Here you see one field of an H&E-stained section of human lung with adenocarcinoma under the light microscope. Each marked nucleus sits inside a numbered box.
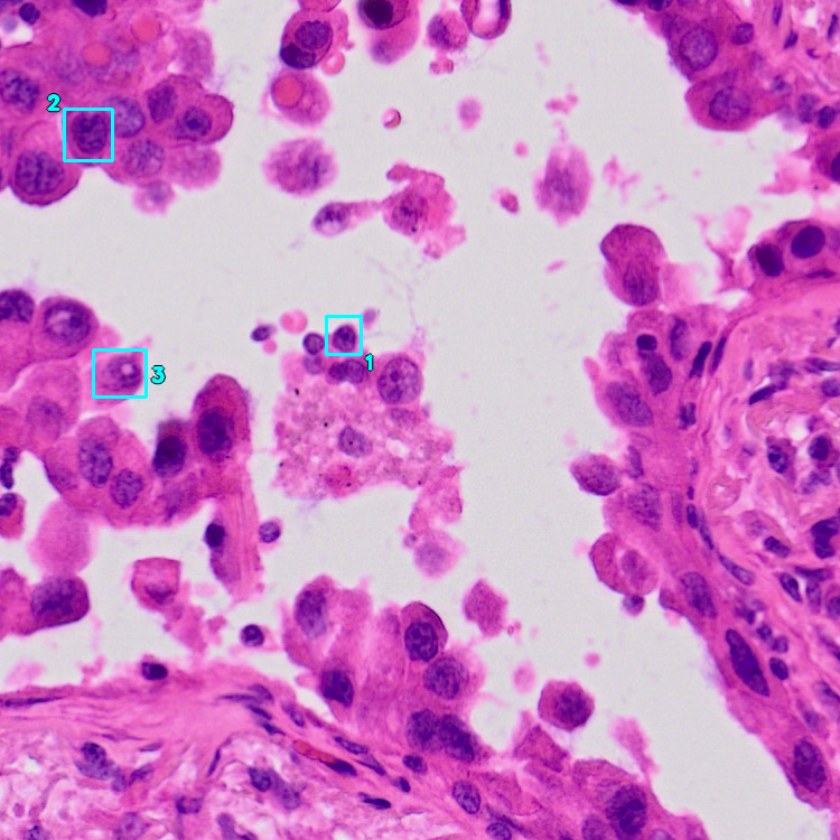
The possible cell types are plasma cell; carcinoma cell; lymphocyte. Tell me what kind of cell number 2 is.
carcinoma cell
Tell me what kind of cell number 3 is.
carcinoma cell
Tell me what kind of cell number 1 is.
lymphocyte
